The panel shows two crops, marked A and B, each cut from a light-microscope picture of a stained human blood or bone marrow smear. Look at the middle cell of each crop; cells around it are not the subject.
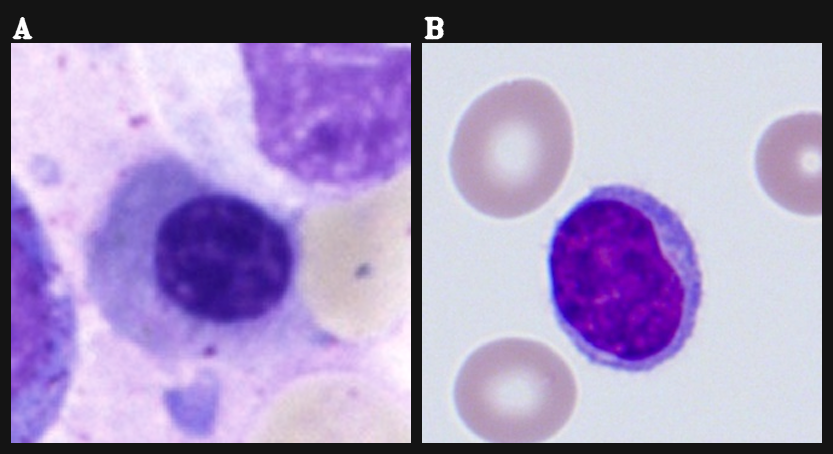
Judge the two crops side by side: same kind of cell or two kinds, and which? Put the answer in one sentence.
No, the cell of interest in crop A is a normoblast, and in crop B it is a lymphocyte.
